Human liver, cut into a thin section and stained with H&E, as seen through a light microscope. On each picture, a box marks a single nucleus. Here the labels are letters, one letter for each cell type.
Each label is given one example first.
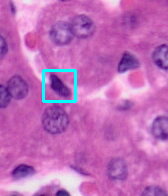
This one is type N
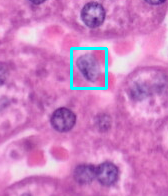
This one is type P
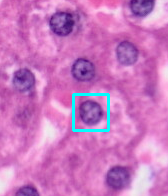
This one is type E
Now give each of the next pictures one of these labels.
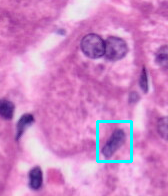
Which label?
type N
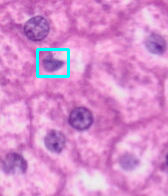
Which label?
type P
